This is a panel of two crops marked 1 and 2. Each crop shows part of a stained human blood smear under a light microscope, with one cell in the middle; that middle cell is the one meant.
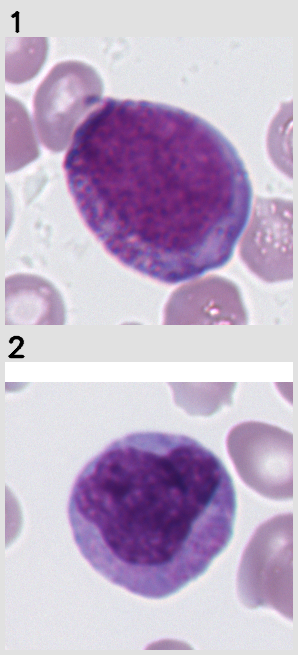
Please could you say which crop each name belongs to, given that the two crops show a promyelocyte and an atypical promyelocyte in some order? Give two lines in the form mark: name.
1: promyelocyte
2: atypical promyelocyte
